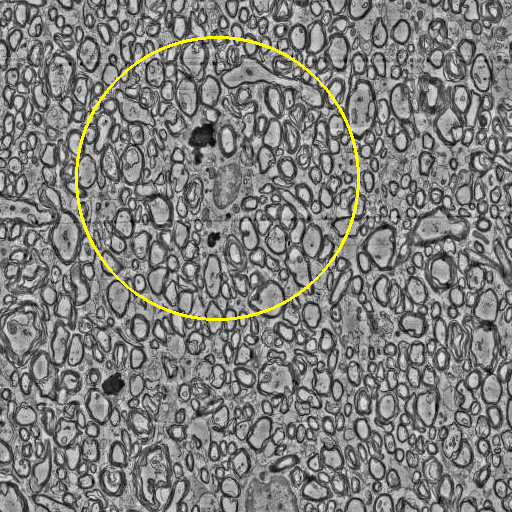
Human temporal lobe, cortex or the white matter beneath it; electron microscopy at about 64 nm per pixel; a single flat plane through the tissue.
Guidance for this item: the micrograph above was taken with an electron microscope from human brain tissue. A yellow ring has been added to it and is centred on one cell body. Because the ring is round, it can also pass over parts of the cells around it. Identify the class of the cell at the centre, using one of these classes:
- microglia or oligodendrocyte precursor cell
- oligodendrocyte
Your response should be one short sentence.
The ring surrounds the body of an oligodendrocyte.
